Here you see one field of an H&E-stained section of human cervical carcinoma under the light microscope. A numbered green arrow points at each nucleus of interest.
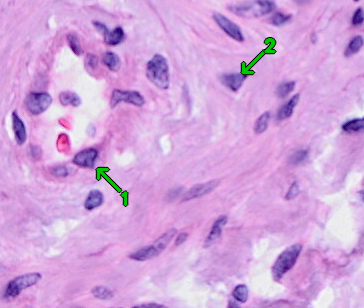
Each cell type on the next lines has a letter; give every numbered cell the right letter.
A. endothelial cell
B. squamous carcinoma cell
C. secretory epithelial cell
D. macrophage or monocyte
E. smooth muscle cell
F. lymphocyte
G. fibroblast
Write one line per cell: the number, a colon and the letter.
1: A
2: G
